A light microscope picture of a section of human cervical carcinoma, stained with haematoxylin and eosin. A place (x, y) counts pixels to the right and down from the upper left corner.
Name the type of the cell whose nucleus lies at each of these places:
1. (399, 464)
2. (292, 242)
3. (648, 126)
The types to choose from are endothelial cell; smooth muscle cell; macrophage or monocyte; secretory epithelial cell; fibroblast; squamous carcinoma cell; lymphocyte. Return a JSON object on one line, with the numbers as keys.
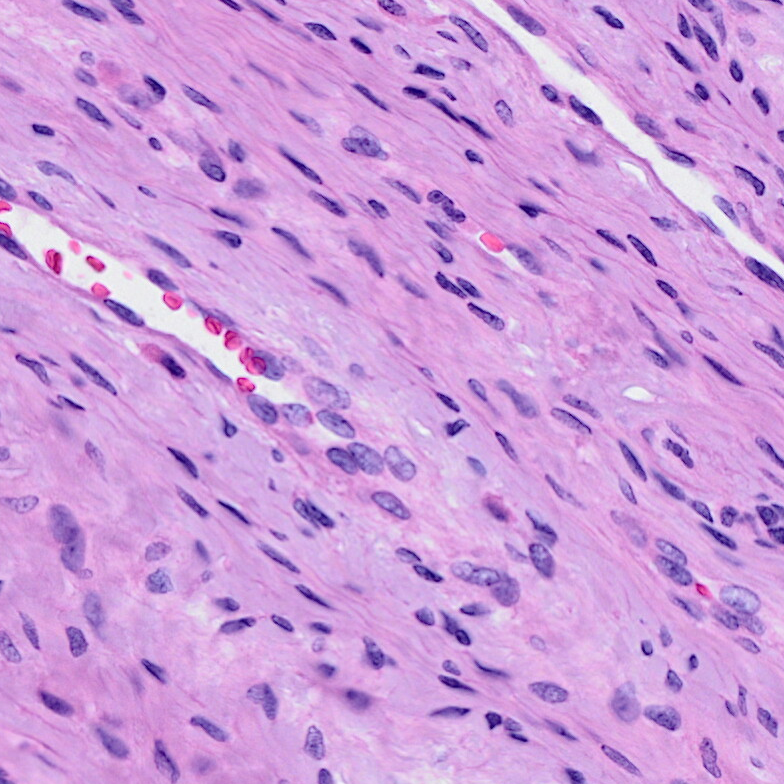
{"1": "endothelial cell", "2": "fibroblast", "3": "endothelial cell"}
